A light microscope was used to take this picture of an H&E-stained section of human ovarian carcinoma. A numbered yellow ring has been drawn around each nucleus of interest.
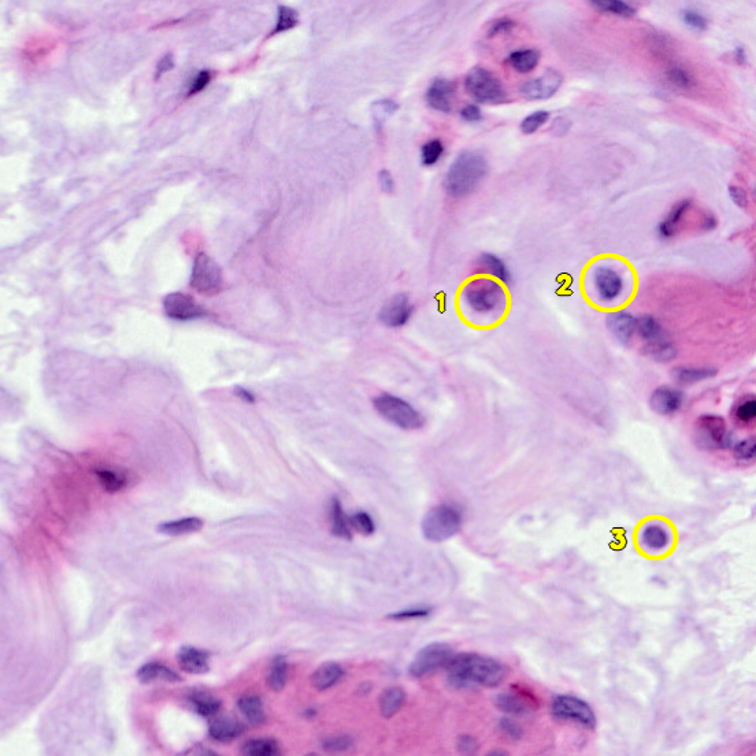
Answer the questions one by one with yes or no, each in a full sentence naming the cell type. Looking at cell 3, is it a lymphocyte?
Yes, cell number 3 in this section is a lymphocyte.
